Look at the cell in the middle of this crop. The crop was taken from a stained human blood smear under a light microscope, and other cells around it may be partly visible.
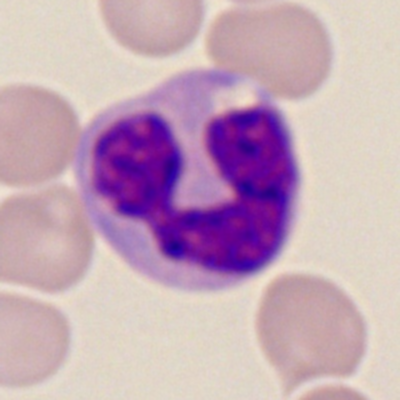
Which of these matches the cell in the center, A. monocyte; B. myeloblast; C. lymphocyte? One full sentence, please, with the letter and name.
The correct identification, given in option A, is that the central cell is a monocyte.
